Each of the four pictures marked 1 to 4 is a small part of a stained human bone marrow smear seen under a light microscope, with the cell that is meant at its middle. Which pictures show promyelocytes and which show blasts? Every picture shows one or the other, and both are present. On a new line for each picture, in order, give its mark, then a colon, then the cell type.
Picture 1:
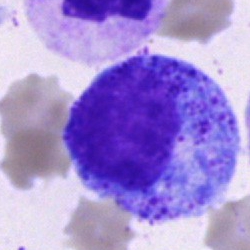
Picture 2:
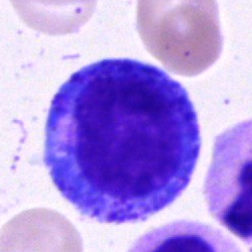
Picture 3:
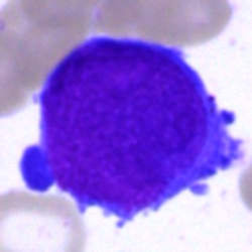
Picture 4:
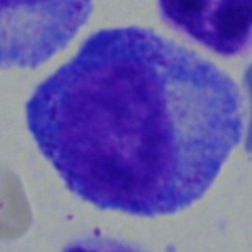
1: promyelocyte
2: promyelocyte
3: blast
4: promyelocyte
